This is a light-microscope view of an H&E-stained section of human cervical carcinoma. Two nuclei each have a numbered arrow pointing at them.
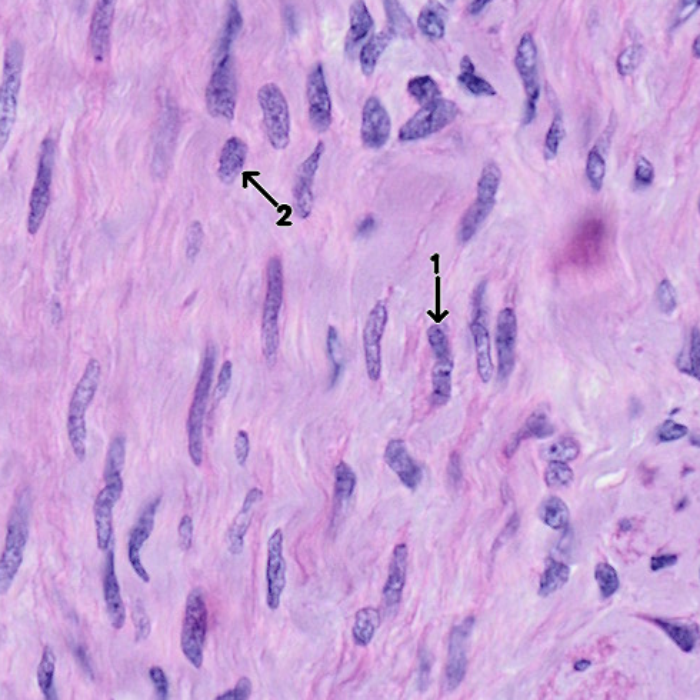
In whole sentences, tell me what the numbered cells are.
Cell 1 is a smooth muscle cell. Cell 2 is a fibroblast.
